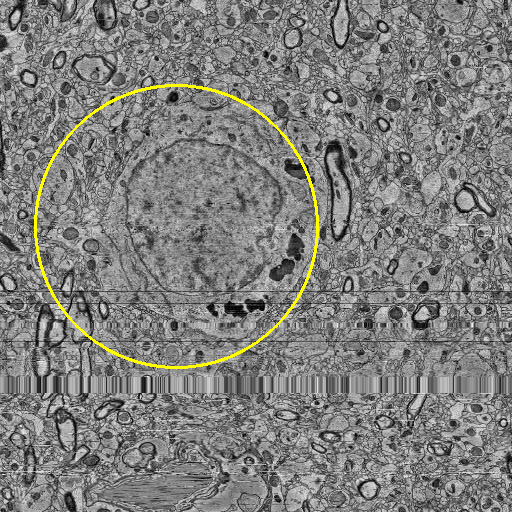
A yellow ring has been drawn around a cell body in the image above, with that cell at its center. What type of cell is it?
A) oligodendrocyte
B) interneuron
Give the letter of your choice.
B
